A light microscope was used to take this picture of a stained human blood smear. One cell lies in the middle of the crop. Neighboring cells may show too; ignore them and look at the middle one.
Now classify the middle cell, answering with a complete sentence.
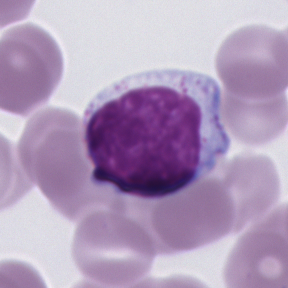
For this crop, the central cell is a large granular lymphocyte.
